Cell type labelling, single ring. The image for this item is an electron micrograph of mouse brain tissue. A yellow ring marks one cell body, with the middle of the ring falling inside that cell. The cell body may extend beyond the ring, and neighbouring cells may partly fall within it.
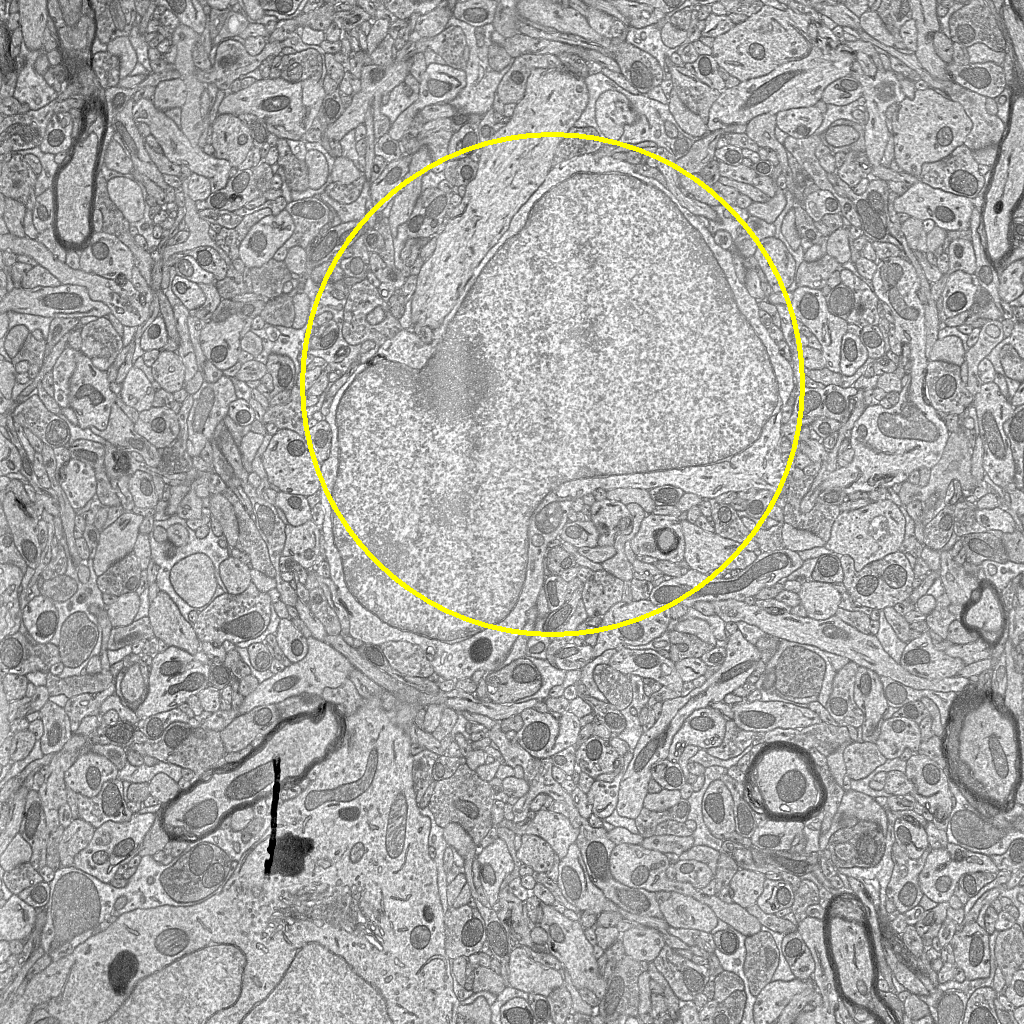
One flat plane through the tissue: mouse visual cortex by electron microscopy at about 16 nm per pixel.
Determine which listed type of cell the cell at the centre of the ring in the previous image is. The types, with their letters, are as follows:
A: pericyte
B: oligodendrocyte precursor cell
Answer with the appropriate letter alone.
B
